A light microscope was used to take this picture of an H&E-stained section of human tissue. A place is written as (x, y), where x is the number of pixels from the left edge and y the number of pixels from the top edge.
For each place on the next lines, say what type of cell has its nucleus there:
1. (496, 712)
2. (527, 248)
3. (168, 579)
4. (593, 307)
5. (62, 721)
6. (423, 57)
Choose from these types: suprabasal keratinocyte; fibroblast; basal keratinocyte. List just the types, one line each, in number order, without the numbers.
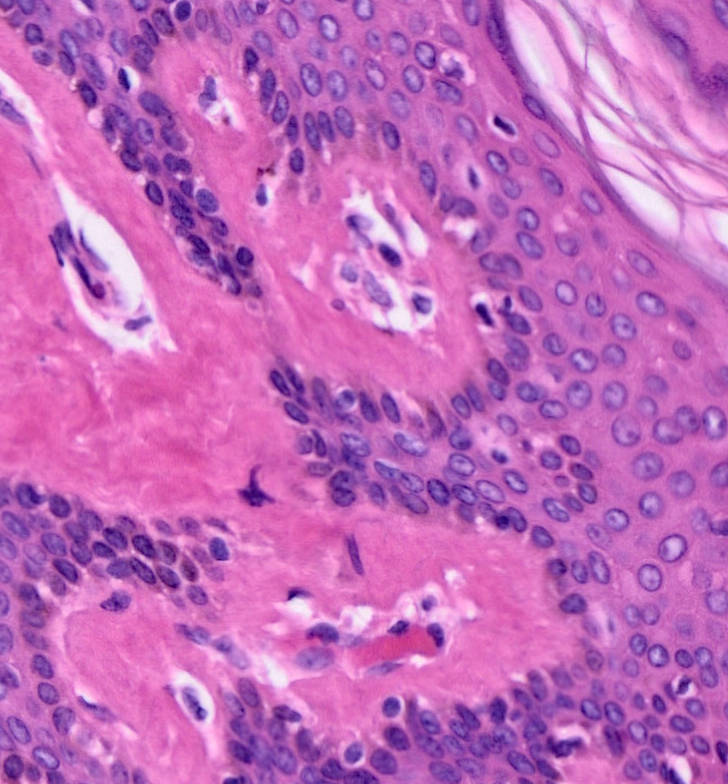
basal keratinocyte
suprabasal keratinocyte
basal keratinocyte
suprabasal keratinocyte
basal keratinocyte
suprabasal keratinocyte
